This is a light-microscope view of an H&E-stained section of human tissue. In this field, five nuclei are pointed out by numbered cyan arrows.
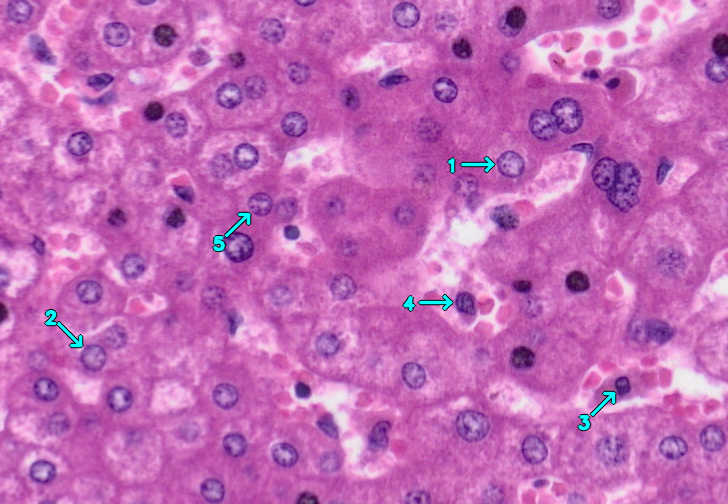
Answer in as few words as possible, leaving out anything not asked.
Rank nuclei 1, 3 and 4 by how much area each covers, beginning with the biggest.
1, 4, 3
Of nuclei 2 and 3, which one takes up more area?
2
